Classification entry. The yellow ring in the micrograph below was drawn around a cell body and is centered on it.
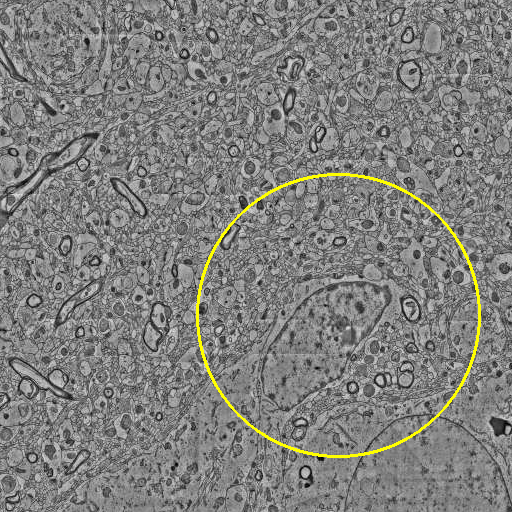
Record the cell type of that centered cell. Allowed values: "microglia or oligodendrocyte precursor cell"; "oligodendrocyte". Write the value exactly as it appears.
microglia or oligodendrocyte precursor cell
